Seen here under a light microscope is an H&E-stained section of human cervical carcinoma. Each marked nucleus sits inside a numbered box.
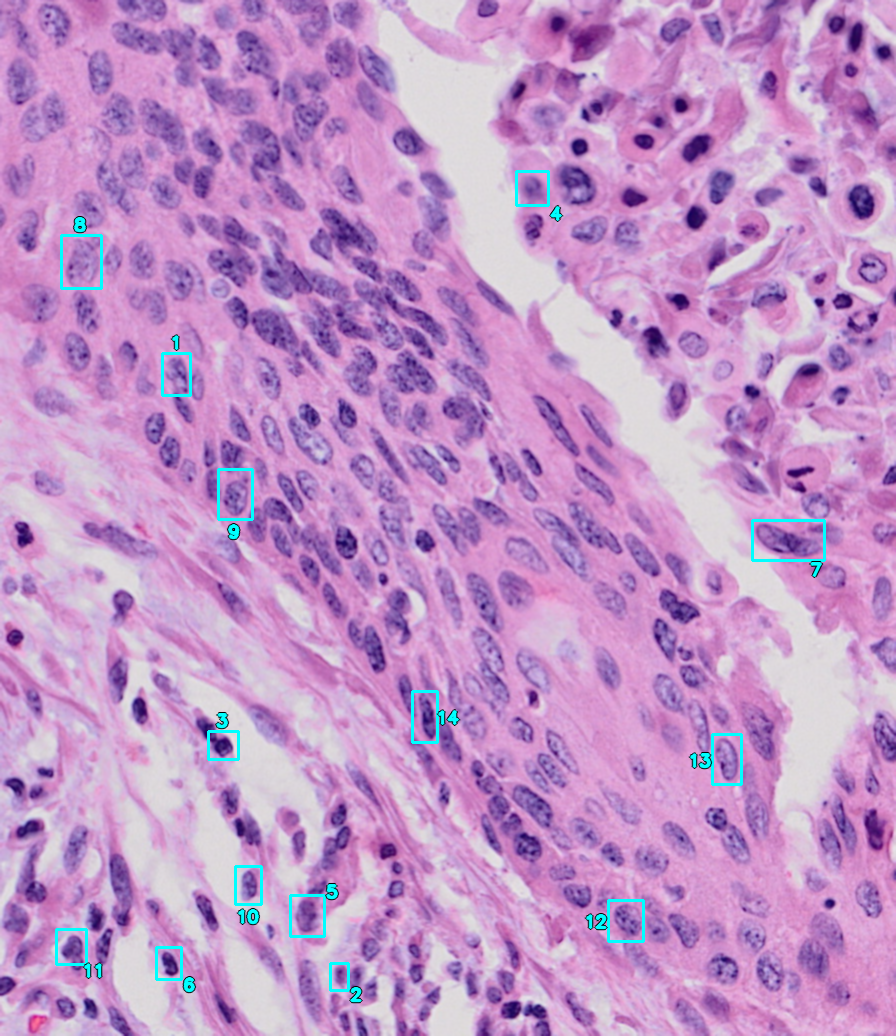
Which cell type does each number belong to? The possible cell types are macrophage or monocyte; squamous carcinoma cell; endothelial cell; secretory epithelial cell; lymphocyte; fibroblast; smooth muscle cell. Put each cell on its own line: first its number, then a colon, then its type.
1: squamous carcinoma cell
2: fibroblast
3: lymphocyte
4: squamous carcinoma cell
5: macrophage or monocyte
6: lymphocyte
7: squamous carcinoma cell
8: squamous carcinoma cell
9: squamous carcinoma cell
10: lymphocyte
11: lymphocyte
12: squamous carcinoma cell
13: squamous carcinoma cell
14: squamous carcinoma cell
